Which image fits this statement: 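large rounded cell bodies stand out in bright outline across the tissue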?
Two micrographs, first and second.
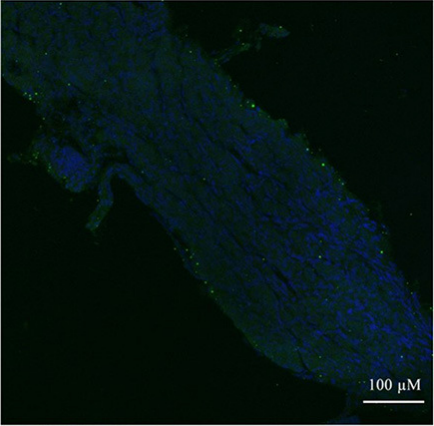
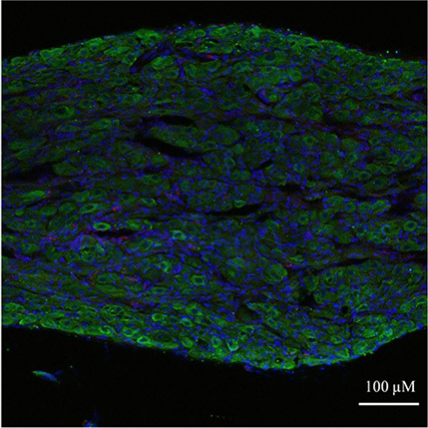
The second image.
